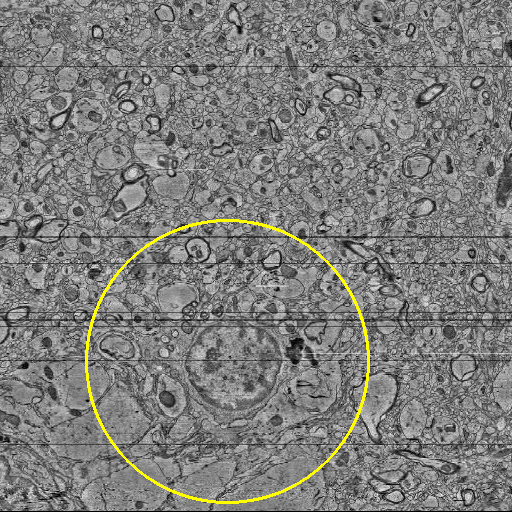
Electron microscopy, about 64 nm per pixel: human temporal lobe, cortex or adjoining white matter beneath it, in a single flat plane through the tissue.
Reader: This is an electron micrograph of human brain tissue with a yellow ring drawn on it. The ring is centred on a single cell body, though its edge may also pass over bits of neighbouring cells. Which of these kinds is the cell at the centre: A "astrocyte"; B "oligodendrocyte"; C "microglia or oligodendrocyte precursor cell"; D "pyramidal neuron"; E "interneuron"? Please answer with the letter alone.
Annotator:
B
